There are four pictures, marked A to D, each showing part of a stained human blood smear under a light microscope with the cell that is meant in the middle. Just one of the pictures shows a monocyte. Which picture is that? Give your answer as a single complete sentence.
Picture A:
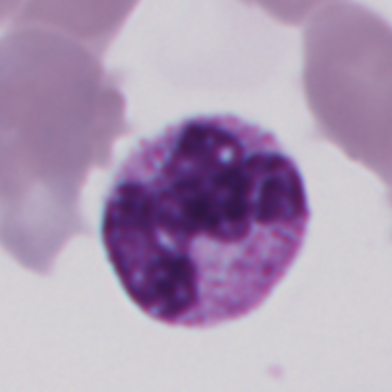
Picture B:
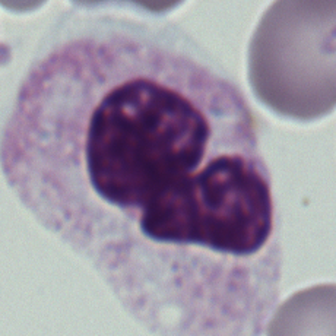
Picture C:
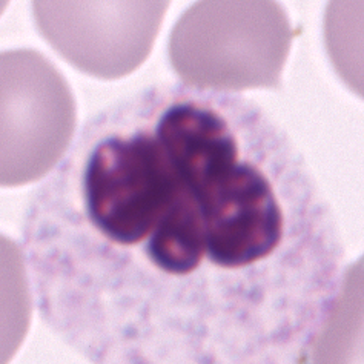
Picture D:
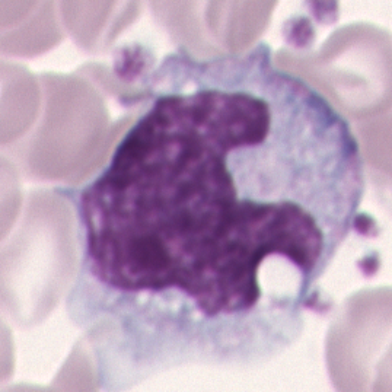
Picture D is the one that shows the monocyte.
